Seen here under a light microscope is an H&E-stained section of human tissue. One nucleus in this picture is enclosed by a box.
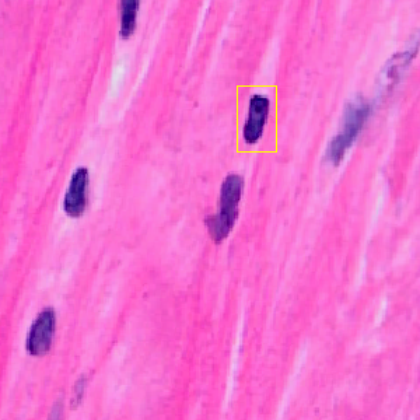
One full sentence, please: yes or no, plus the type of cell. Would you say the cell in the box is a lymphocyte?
Yes, the identity of the cell in the box is that of a lymphocyte.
